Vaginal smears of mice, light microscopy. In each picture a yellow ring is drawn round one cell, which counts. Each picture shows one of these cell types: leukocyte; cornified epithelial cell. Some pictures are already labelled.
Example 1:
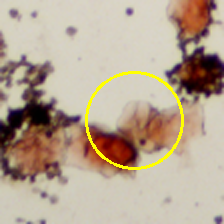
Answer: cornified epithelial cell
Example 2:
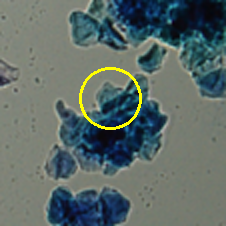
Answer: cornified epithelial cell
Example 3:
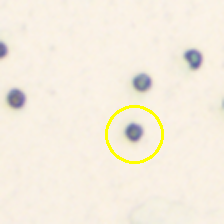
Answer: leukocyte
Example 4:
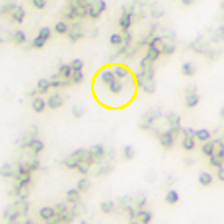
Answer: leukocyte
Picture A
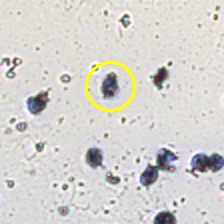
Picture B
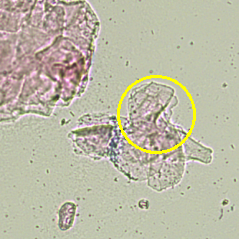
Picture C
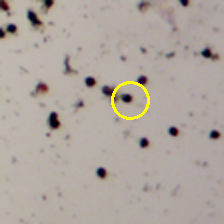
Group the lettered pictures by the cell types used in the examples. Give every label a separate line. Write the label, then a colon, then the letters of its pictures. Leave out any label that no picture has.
leukocyte: A, C
cornified epithelial cell: B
